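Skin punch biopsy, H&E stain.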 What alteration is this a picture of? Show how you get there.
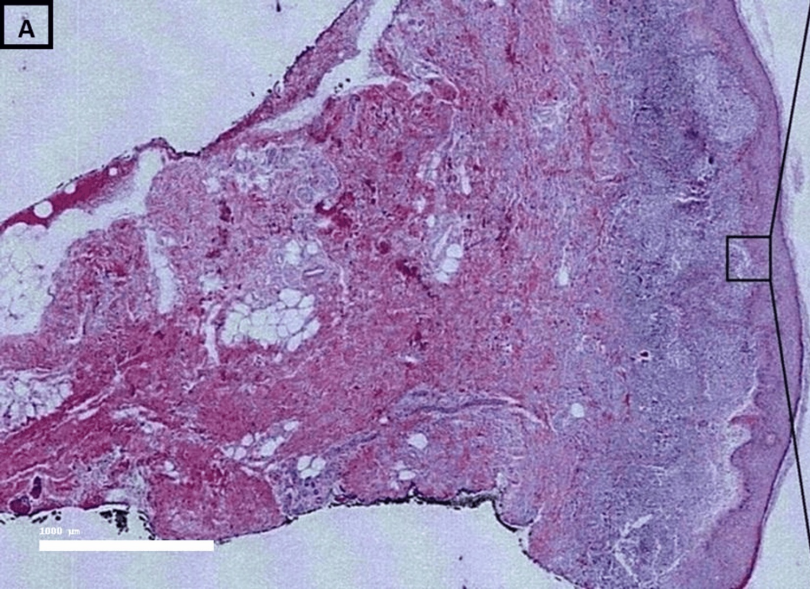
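A broad, densely purple, cell-rich zone lies just beneath the surface epithelium on the right. Deeper dermis to the left is pink and much less cellular, with fat lobules. On this evidence: dense cellular infiltrate.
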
